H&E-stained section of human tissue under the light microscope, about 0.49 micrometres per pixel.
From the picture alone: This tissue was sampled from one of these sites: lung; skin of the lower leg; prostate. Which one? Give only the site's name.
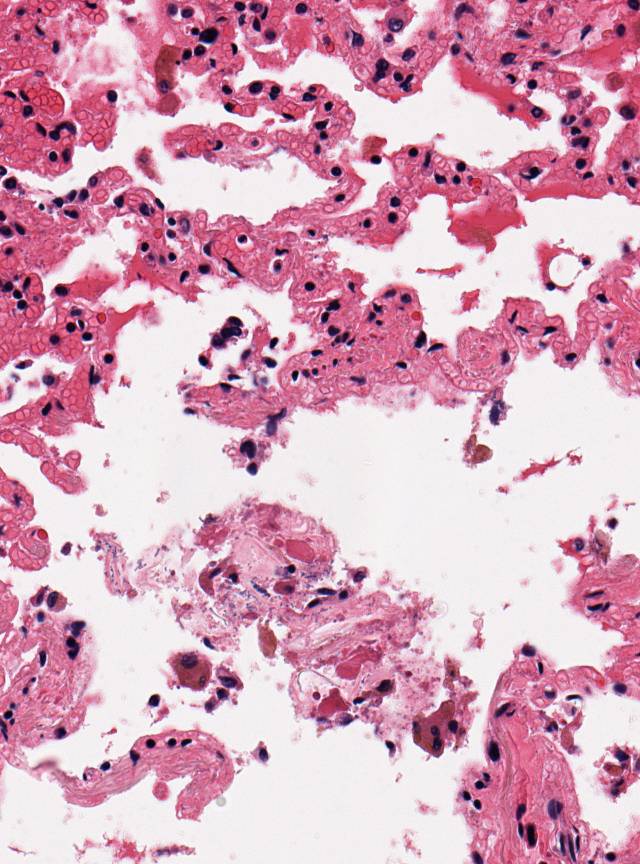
lung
